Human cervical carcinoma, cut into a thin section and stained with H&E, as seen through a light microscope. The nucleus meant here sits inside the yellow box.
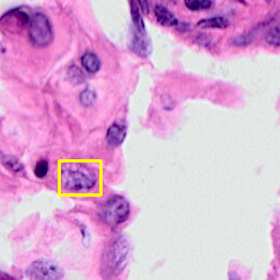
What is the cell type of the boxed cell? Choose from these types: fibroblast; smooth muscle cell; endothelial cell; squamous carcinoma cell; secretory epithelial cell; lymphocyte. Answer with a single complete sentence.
As a matter of cell type, the boxed cell is a squamous carcinoma cell.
